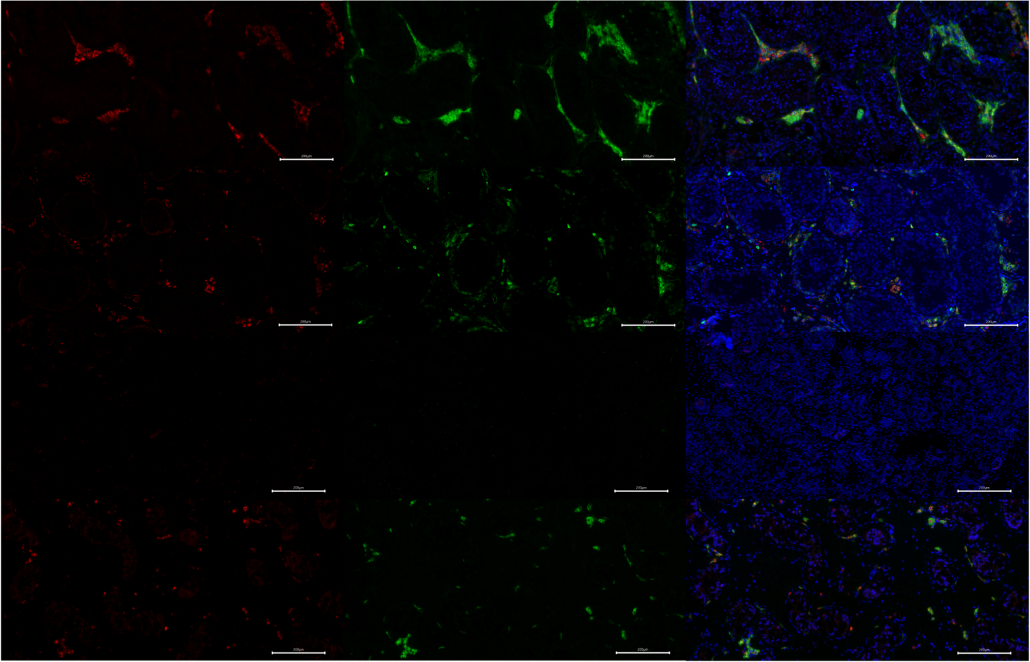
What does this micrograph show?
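A grid of testis sections shows Leydig cells in the interstitial spaces between seminiferous tubules, with nuclei stained blue. In the top row, large irregular clusters of interstitial cells are strongly green, with red granular labelling in the same places. In the second row, smaller scattered interstitial cells show green and red labelling between tubules that are densely packed with blue nuclei. The third row shows tightly packed tubules with almost no red or green labelling, while the bottom row shows sparse, small patches of green and red labelling between the tubules.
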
